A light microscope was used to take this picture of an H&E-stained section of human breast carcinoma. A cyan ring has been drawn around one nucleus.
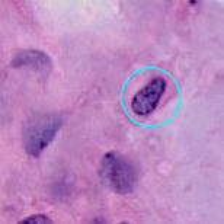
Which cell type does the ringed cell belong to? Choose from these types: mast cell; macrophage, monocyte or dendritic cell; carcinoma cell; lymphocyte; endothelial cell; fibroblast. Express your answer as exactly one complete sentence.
By its classification, the ringed cell is a mast cell.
